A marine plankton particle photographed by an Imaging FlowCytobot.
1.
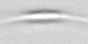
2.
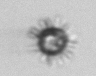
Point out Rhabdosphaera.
That is picture 2.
